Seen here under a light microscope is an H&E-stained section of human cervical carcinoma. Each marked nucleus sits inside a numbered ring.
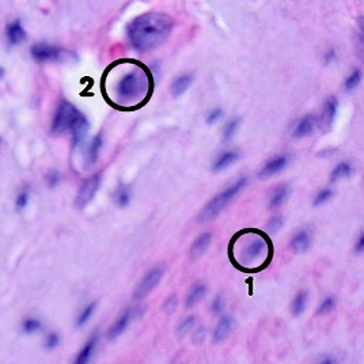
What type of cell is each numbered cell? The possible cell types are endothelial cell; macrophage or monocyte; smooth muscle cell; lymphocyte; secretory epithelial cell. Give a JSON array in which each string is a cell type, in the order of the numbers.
["smooth muscle cell", "endothelial cell"]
